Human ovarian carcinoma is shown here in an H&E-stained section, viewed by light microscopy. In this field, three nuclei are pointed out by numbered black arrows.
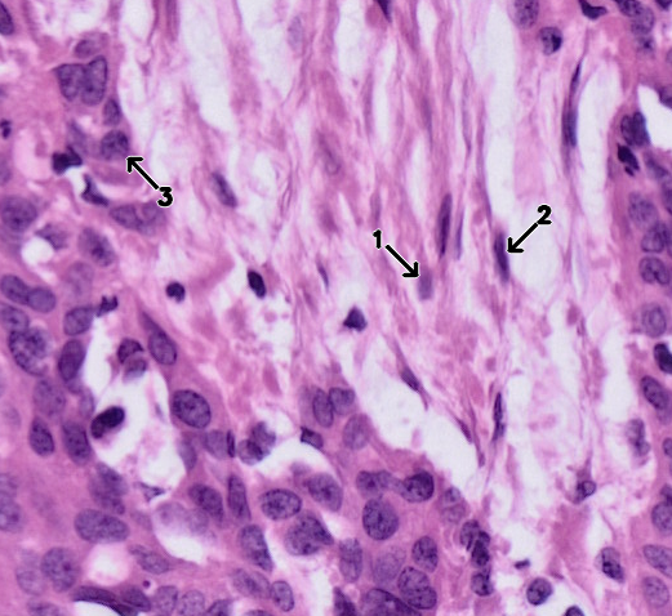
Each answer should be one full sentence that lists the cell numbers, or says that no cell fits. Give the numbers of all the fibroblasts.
To be specific, the cells numbered 1 and 2 are fibroblasts.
